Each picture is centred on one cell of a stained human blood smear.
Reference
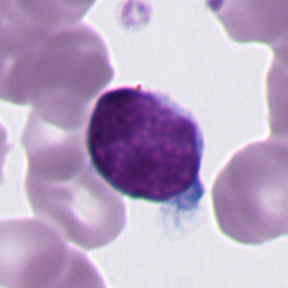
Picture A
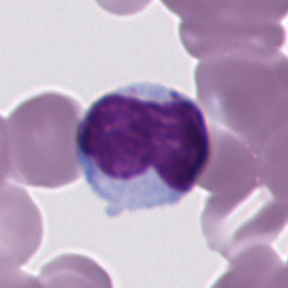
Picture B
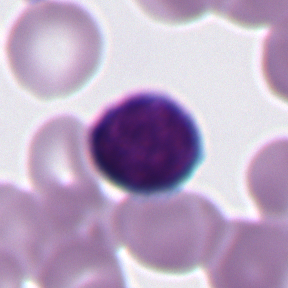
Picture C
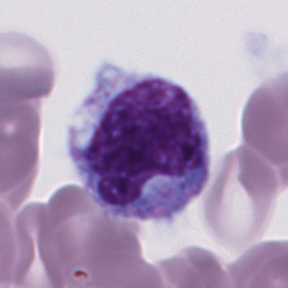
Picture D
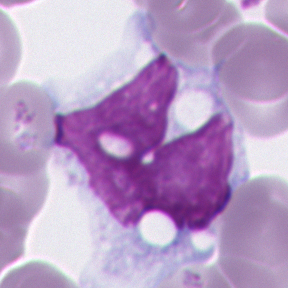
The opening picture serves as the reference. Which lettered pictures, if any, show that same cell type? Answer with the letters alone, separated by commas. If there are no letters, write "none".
A, B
